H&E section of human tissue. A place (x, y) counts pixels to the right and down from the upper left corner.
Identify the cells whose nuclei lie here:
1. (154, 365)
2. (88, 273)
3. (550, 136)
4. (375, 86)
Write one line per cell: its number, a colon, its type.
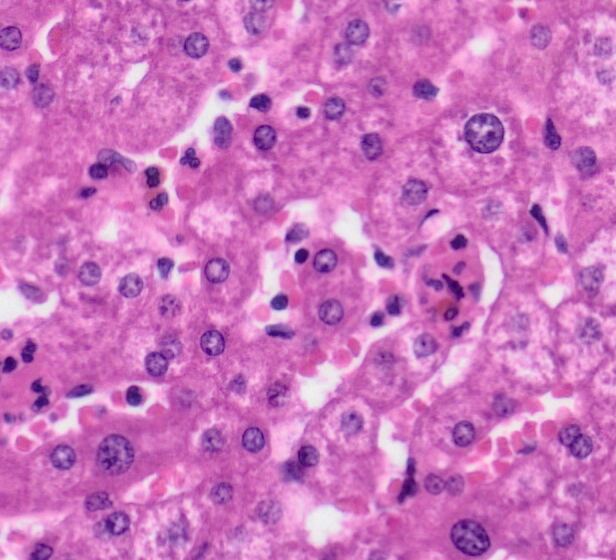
1: hepatocyte
2: hepatocyte
3: fibroblast or stellate cell
4: hepatocyte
